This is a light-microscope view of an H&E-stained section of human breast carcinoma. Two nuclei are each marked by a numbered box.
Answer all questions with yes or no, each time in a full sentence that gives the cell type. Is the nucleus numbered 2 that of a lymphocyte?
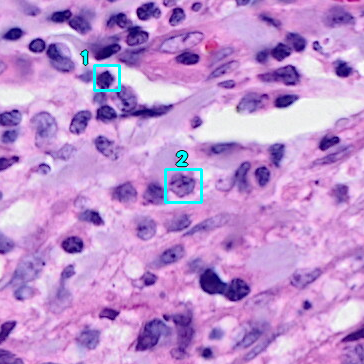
No, cell 2 is to be read as a macrophage, monocyte or dendritic cell, not a lymphocyte.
